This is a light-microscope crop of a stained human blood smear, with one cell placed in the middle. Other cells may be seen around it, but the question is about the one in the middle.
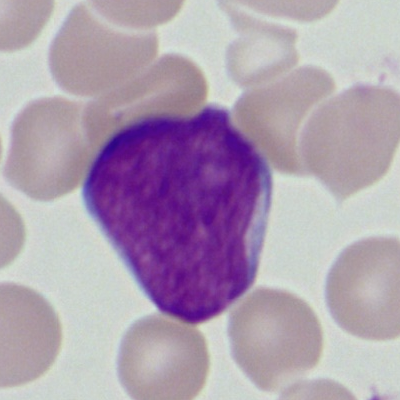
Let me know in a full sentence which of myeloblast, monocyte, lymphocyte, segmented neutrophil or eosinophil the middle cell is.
In the crop, the cell of interest at the centre is a myeloblast.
